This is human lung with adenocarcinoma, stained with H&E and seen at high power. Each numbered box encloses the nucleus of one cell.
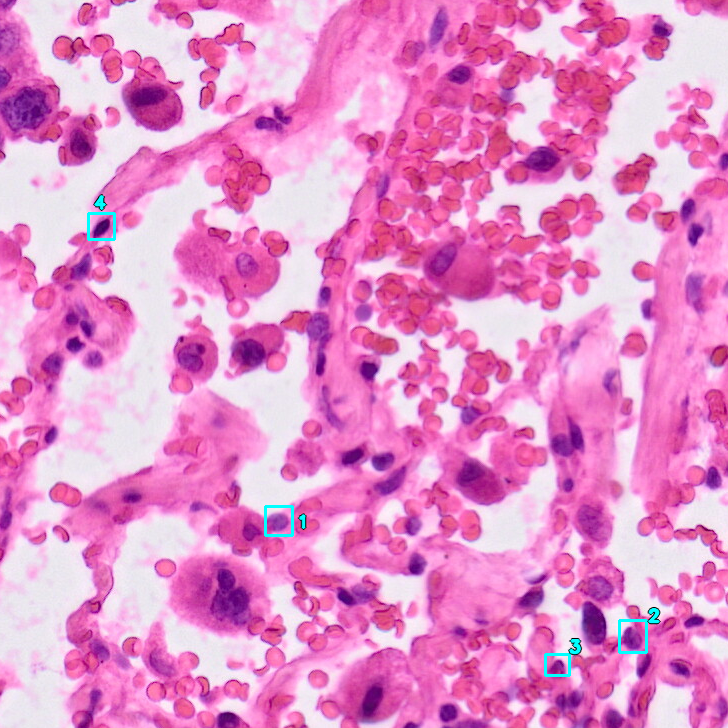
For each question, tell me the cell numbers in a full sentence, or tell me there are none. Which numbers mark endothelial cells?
Just one numbered cell is an endothelial cell, and that cell is number 4.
